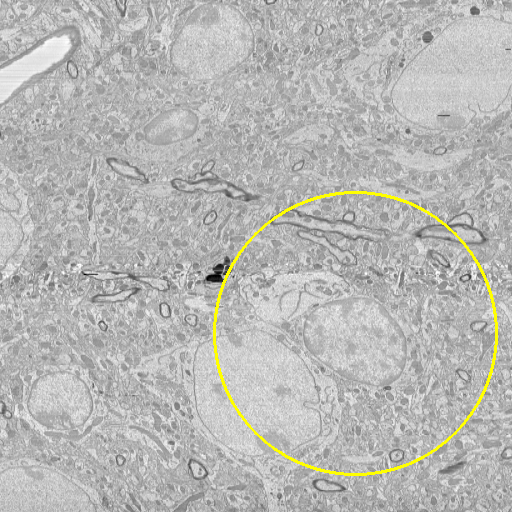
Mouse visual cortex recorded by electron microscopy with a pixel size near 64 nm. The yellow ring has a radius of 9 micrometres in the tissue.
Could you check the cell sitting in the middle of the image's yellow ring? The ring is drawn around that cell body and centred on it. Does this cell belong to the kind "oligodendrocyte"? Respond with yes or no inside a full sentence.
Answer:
Yes, this cell in the middle of the yellow ring is one of that kind.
